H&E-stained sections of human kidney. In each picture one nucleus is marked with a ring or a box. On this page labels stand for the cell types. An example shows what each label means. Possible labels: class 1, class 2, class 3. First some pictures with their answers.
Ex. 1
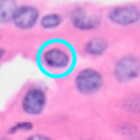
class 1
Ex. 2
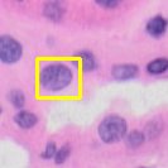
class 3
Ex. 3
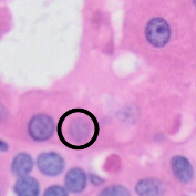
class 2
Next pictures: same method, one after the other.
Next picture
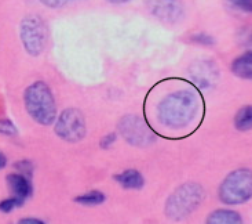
class 3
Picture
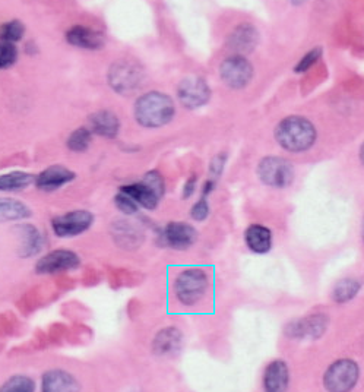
class 1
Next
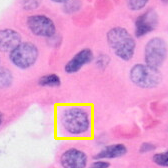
class 1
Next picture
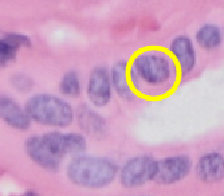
class 3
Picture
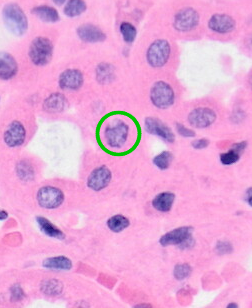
class 1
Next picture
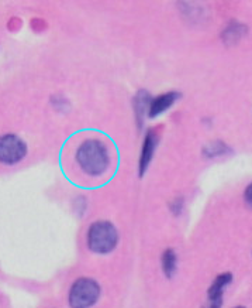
class 1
